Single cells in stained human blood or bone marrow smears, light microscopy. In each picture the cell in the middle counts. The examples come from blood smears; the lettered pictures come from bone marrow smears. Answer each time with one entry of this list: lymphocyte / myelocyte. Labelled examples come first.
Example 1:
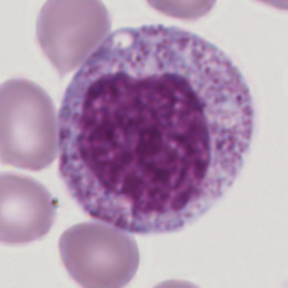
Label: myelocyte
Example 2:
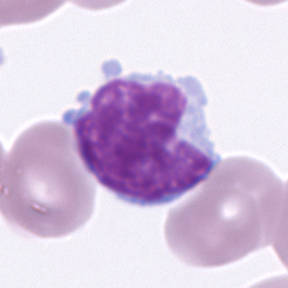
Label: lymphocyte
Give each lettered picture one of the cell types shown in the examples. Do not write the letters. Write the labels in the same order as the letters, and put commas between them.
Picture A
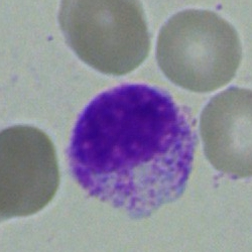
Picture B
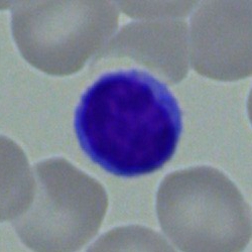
myelocyte, lymphocyte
